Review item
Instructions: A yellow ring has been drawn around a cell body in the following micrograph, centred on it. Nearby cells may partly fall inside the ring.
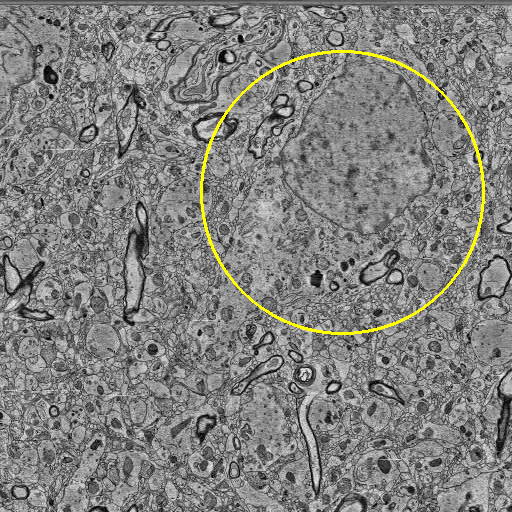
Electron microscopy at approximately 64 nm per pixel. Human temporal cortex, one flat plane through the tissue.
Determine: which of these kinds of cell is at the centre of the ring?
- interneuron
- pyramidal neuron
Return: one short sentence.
The cell body in the middle of the ring is that of an interneuron.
